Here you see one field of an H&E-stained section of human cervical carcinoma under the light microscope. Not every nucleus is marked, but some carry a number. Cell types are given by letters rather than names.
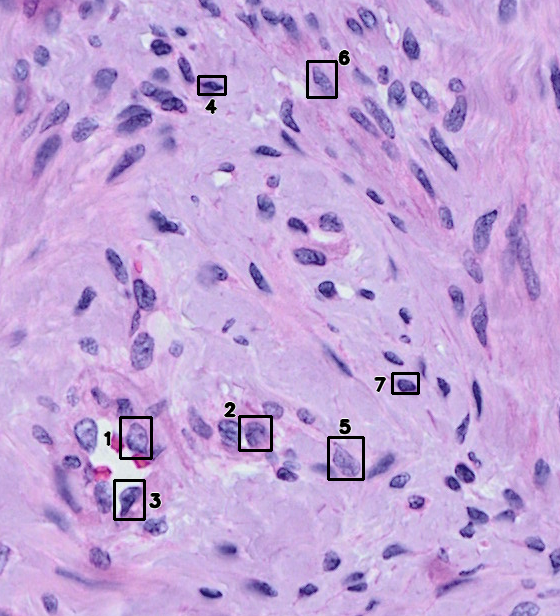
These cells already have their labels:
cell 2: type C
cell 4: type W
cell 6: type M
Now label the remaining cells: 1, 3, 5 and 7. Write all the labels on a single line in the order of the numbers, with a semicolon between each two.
type C; type C; type W; type W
